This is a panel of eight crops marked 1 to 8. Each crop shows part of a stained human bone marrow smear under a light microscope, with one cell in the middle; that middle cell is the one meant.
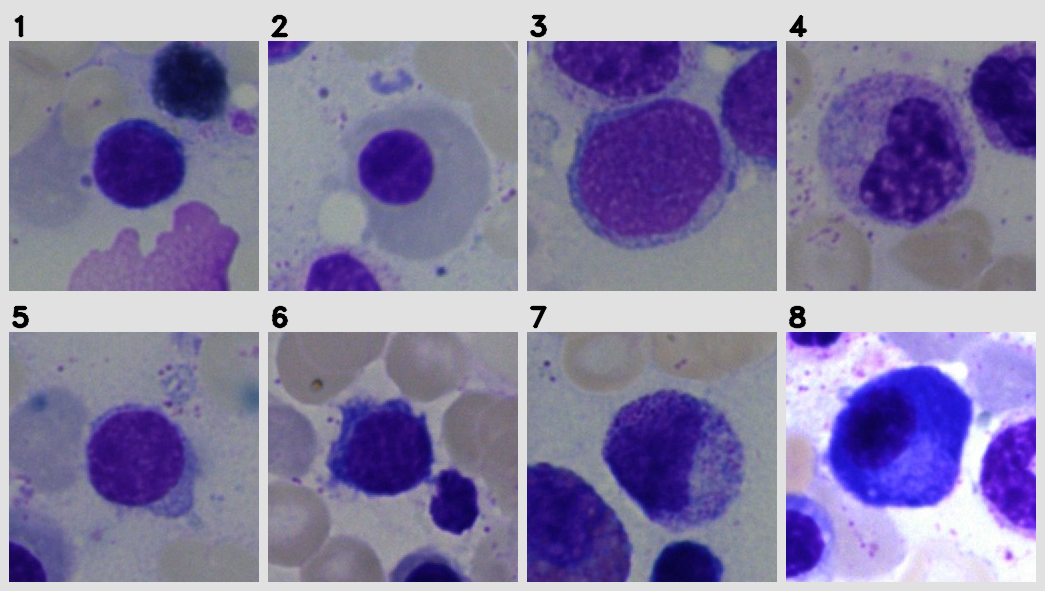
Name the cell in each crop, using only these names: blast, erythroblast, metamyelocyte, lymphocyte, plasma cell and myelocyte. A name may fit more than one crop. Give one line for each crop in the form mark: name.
1: lymphocyte
2: erythroblast
3: blast
4: metamyelocyte
5: lymphocyte
6: lymphocyte
7: myelocyte
8: plasma cell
